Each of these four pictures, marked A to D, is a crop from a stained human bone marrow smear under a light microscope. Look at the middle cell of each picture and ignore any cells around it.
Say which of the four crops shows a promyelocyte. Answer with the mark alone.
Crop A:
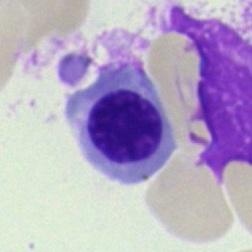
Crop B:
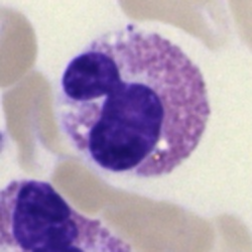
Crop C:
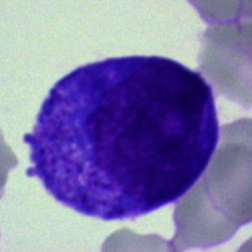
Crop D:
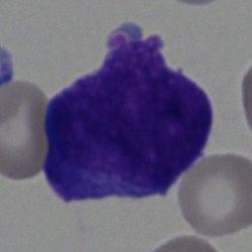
C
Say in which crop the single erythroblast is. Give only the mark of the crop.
A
